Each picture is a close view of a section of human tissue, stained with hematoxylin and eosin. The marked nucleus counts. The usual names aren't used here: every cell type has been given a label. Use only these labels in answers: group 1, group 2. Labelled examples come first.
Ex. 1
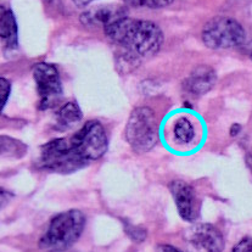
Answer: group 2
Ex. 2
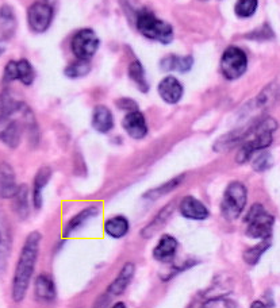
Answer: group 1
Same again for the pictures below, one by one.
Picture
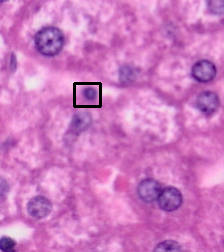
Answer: group 2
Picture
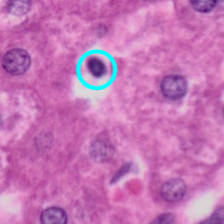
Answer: group 2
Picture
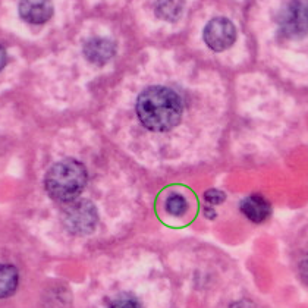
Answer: group 2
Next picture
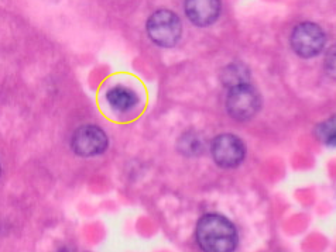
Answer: group 2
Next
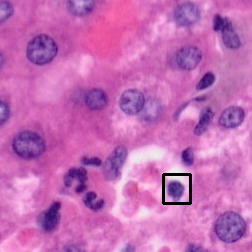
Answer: group 2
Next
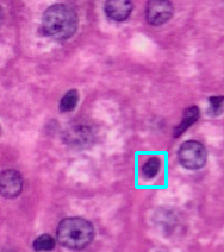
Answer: group 2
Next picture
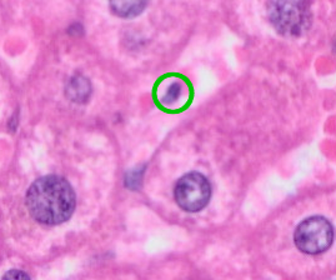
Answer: group 2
